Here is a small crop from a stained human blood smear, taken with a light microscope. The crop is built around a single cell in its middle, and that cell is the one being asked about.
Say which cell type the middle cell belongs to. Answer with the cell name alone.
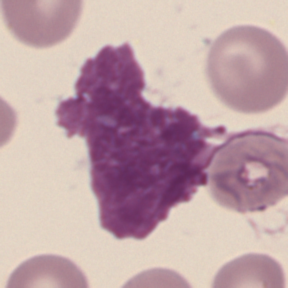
smudge cell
